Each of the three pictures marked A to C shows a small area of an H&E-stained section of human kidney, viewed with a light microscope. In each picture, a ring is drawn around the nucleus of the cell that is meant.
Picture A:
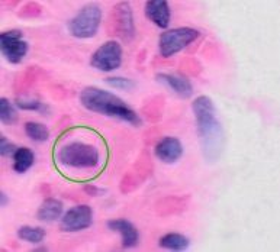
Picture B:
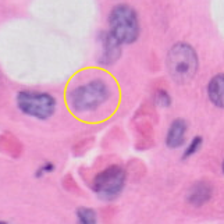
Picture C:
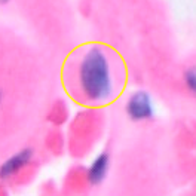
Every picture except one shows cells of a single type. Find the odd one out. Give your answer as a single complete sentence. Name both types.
The others show endothelial cells, but picture B shows a “loop of Henle or distal tubule cell”.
